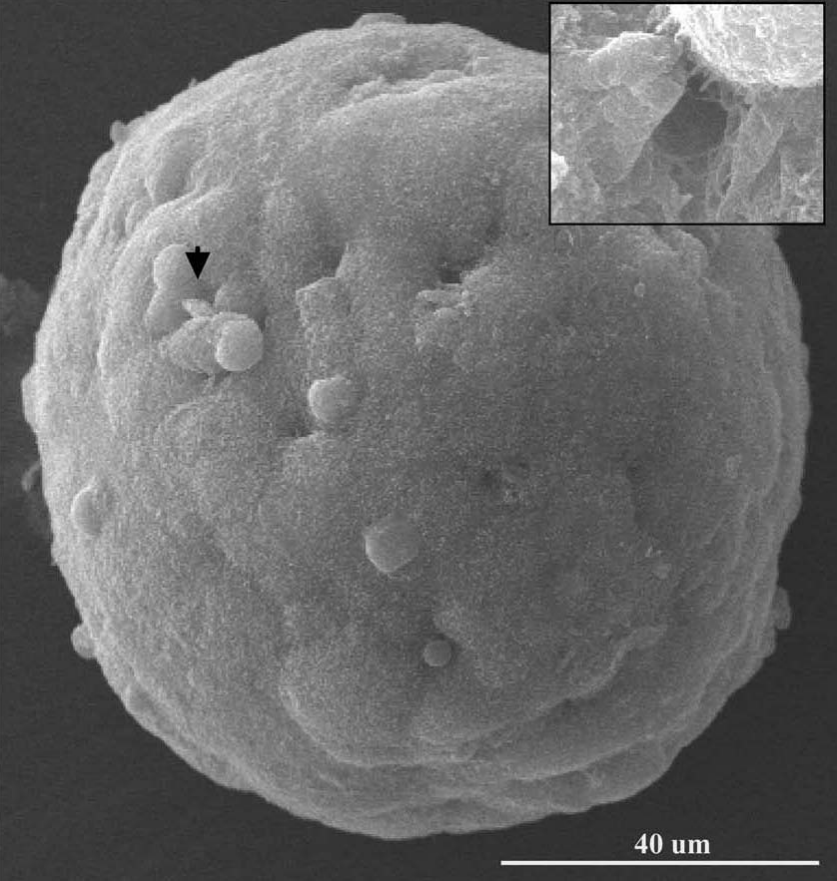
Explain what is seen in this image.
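This scanning electron micrograph shows a whole multicellular spheroid, a compact, roughly round aggregate whose surface is made of flattened, gently bulging cell contours. The surface has a fine, fuzzy texture formed by densely packed, very short microvilli. Scattered over it are small rounded protrusions and a few small pits and shallow depressions, with an irregular cluster of rounded bodies near the upper left. A boxed inset at the upper right shows a higher magnification of the surface, where a dark opening is bordered by sheet-like and fibrous material.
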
